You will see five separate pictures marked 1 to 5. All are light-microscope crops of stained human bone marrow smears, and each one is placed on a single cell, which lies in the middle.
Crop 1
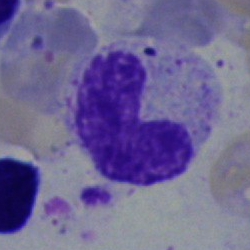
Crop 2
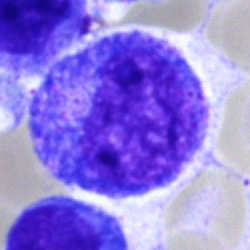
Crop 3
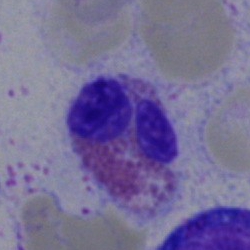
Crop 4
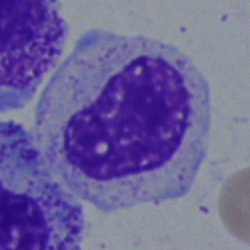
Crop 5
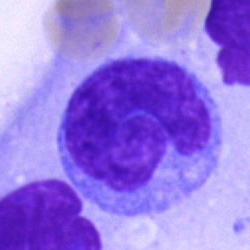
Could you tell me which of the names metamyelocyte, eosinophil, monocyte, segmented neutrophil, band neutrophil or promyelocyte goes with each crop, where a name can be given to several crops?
1: band neutrophil
2: promyelocyte
3: eosinophil
4: metamyelocyte
5: monocyte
